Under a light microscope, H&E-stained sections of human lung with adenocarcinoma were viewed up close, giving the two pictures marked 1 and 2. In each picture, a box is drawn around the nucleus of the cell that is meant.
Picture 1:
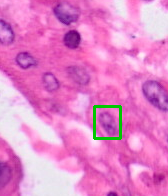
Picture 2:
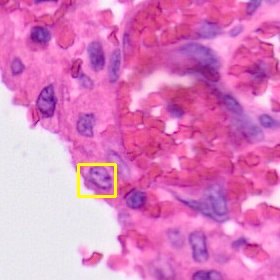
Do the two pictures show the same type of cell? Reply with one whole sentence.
Yes, both are “macrophages or monocytes”.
